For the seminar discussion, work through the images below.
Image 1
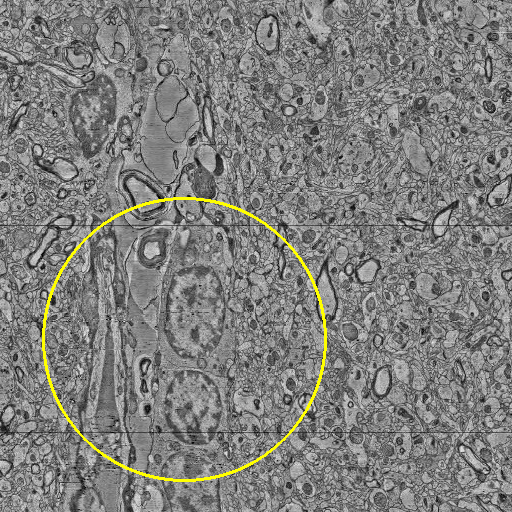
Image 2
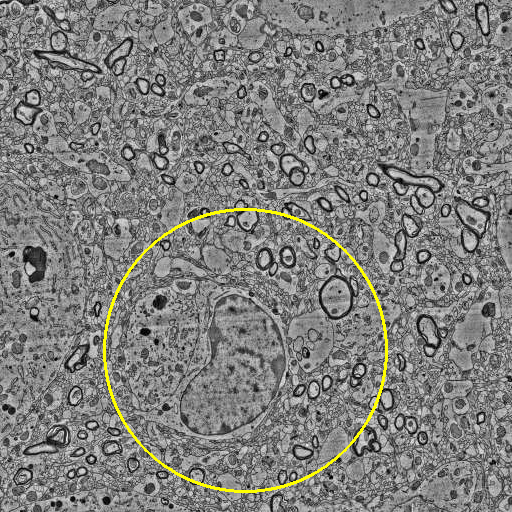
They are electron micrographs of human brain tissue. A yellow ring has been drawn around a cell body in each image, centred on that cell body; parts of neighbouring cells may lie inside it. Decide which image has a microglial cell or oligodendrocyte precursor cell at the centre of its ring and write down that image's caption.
Image 2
